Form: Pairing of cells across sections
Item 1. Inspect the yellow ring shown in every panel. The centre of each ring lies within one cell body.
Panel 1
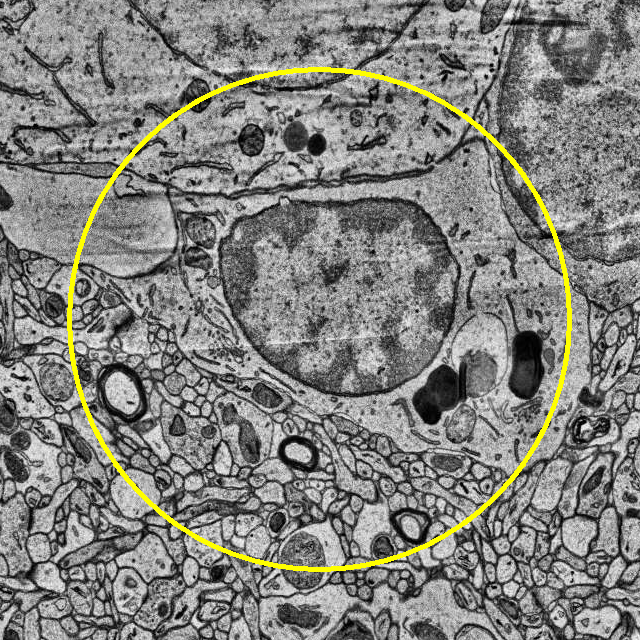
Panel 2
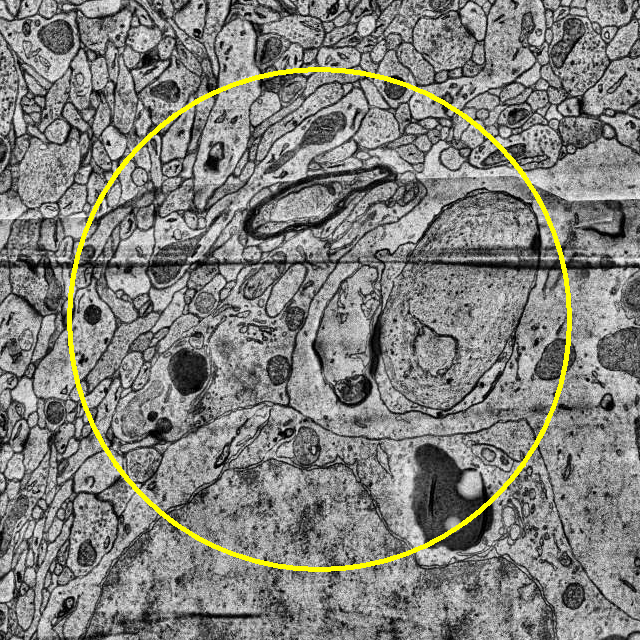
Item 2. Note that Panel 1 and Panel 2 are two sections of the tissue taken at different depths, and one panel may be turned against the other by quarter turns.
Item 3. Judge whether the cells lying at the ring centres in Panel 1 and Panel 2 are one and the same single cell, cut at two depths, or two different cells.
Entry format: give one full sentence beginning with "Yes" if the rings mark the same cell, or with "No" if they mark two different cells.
No, there are two different cells marked by the rings.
